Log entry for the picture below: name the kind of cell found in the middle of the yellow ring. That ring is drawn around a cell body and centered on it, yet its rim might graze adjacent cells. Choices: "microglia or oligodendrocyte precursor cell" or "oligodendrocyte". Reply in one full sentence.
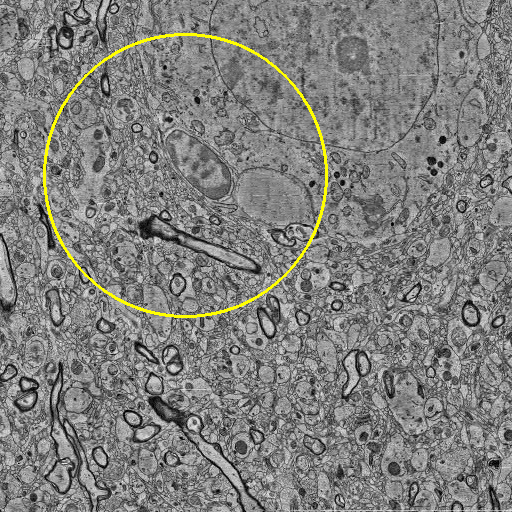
The cell in the middle of the yellow ring in this picture is a microglial cell or oligodendrocyte precursor cell.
